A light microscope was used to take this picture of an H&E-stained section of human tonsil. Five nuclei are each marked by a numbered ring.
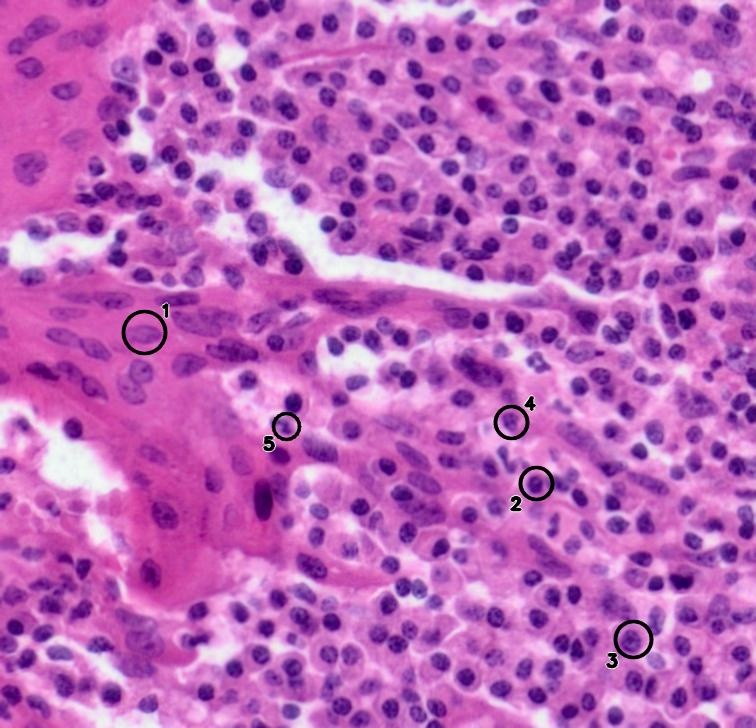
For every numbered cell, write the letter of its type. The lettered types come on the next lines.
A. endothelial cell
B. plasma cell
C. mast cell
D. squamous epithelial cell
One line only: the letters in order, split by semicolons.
D; B; B; B; D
